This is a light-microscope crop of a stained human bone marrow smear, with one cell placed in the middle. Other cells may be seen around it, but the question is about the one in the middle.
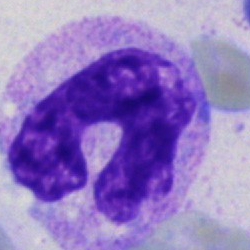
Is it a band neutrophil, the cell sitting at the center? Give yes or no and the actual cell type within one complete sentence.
Yes, at the centre of the crop lies a band neutrophil.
